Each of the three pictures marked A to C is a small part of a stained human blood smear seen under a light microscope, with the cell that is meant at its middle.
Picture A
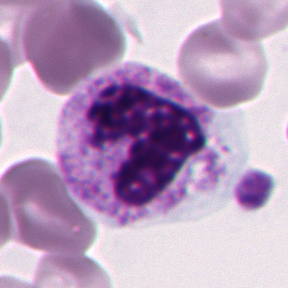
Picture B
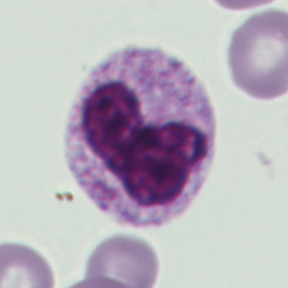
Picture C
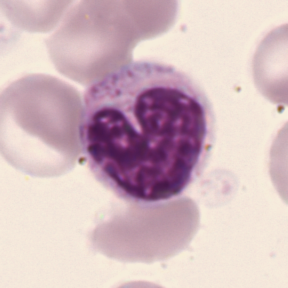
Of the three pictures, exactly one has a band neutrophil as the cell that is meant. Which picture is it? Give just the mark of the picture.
C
